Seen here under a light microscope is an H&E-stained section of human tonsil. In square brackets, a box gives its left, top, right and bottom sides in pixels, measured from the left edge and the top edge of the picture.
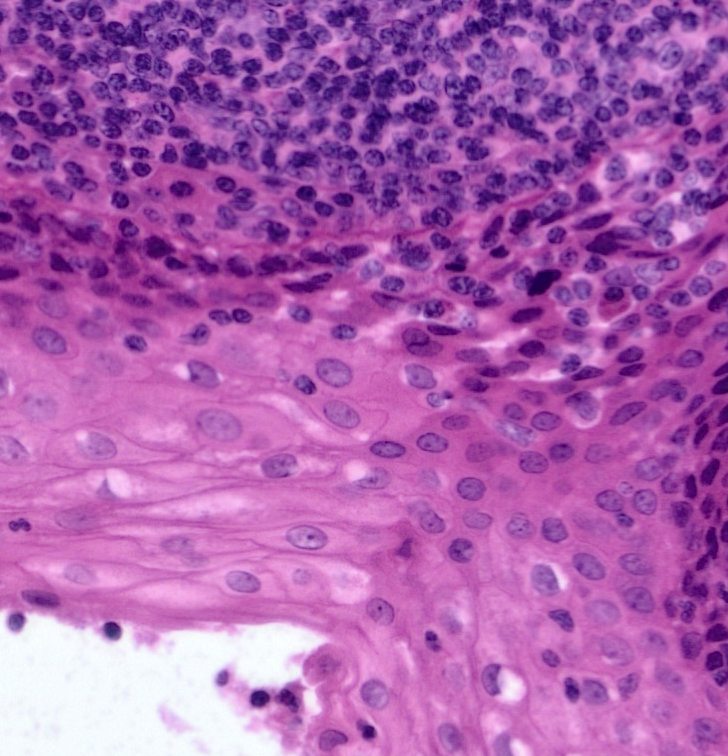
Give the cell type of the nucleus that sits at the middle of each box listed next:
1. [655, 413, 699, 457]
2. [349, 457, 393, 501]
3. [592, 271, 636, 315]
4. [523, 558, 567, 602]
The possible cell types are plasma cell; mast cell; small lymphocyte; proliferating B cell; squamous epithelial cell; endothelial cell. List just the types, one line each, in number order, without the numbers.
squamous epithelial cell
squamous epithelial cell
plasma cell
squamous epithelial cell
